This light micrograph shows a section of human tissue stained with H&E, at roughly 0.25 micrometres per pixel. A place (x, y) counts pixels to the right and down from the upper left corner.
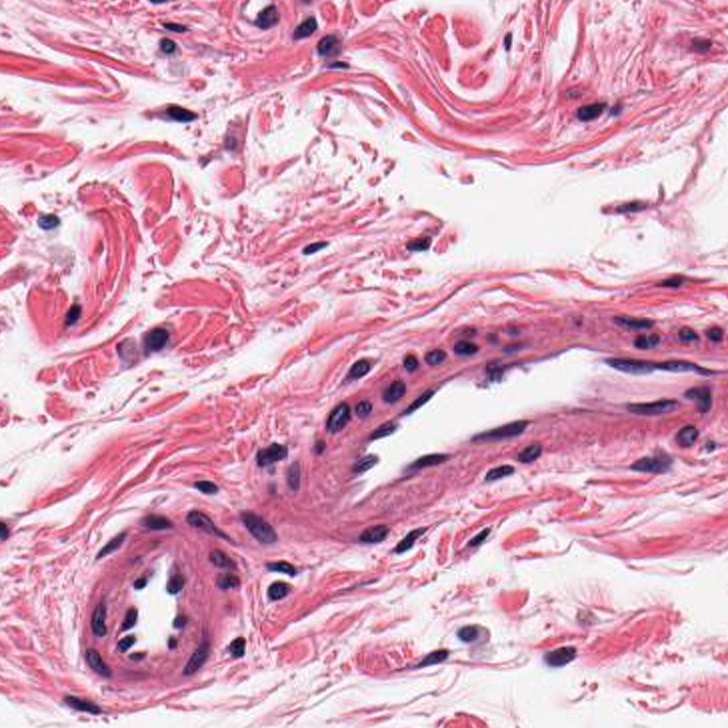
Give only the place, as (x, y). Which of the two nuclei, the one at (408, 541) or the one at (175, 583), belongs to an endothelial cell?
(175, 583)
